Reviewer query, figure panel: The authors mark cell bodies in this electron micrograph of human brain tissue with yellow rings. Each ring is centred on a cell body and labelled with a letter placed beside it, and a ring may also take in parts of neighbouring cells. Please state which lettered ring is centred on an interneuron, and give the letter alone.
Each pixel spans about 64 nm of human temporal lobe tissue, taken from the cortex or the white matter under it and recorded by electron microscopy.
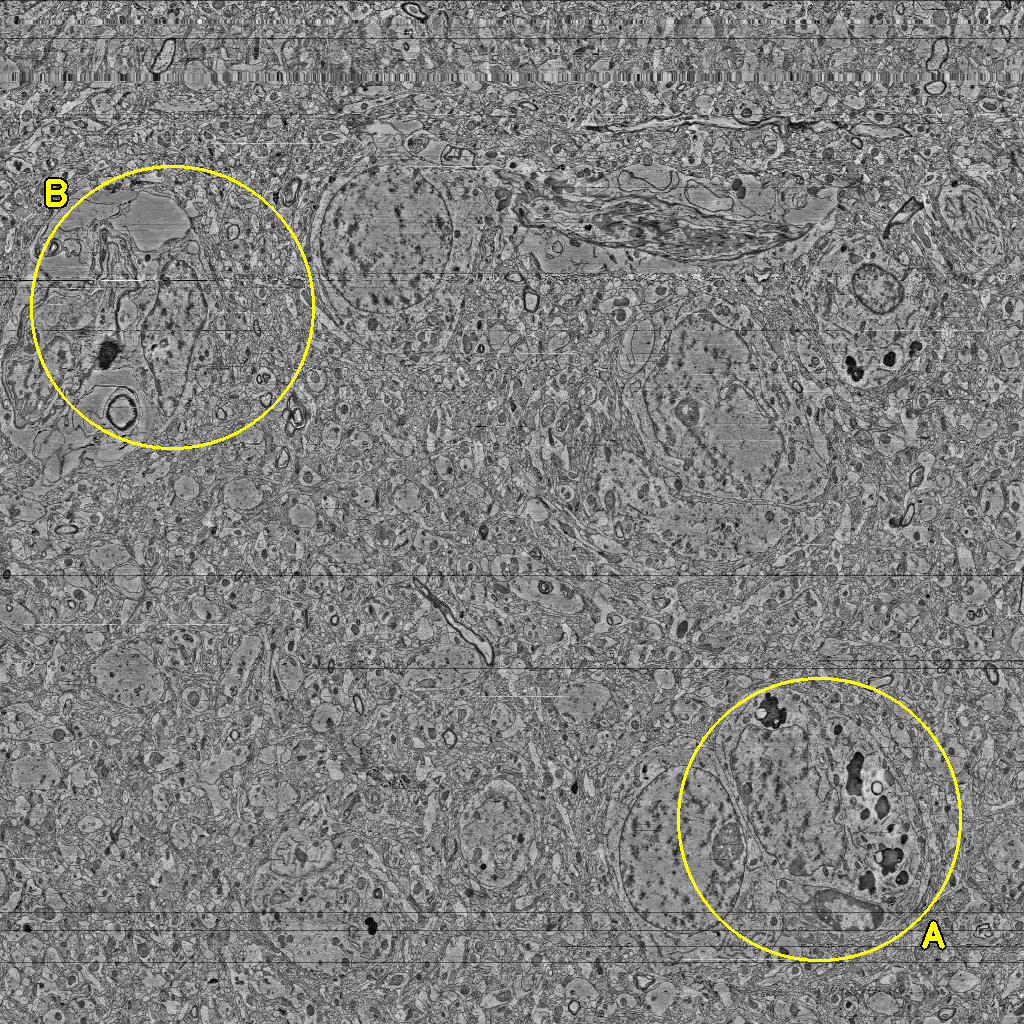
A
